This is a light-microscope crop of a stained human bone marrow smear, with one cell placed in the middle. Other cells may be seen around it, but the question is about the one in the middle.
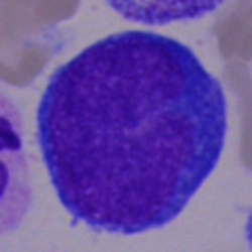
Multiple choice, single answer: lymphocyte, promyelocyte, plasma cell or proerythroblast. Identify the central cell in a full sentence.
Seen at the centre of the crop is a proerythroblast.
